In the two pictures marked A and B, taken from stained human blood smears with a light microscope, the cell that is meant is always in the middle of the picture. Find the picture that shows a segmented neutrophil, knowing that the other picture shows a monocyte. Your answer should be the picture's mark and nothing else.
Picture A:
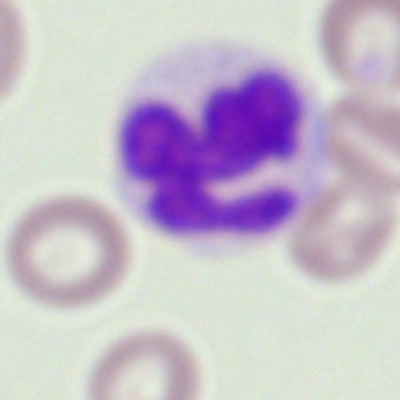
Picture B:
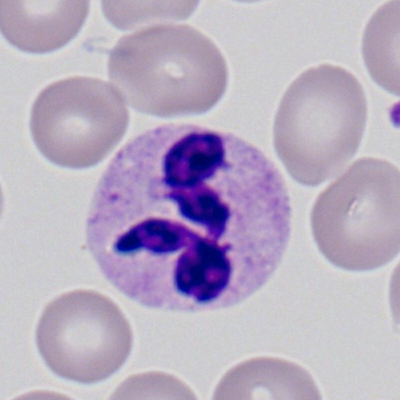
B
